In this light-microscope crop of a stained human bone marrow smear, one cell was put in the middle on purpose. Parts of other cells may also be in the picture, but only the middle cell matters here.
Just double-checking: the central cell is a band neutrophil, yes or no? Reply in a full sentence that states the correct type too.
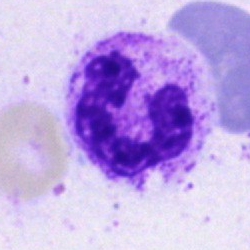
No, wrong label: the middle cell is a segmented neutrophil instead of a band neutrophil.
